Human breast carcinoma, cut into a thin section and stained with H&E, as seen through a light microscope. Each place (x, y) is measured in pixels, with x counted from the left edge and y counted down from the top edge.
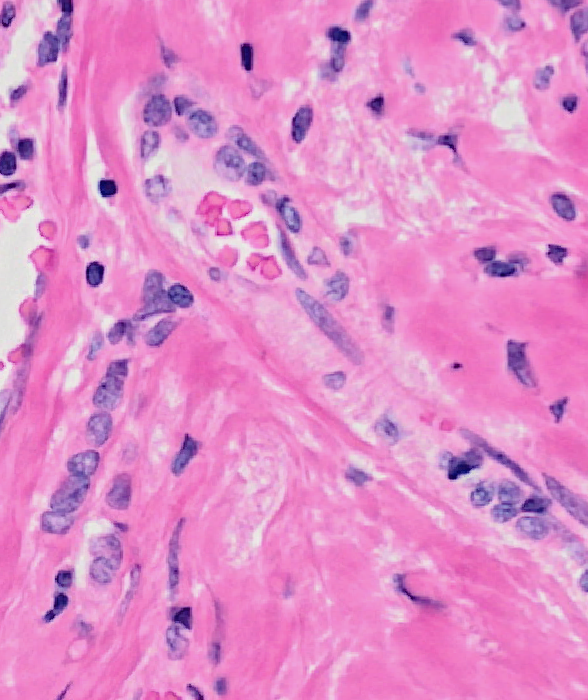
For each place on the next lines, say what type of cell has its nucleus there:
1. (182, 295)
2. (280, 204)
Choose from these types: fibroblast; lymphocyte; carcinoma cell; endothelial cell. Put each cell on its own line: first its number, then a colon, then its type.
1: lymphocyte
2: endothelial cell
